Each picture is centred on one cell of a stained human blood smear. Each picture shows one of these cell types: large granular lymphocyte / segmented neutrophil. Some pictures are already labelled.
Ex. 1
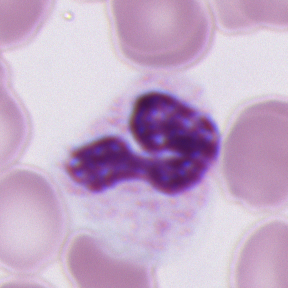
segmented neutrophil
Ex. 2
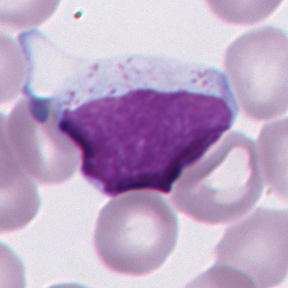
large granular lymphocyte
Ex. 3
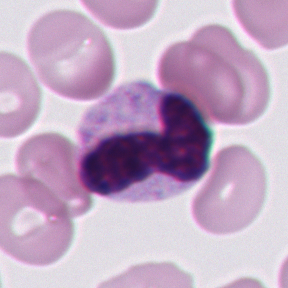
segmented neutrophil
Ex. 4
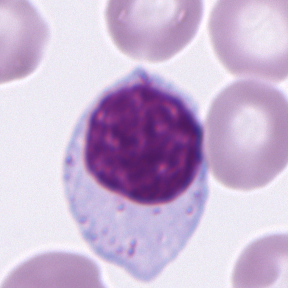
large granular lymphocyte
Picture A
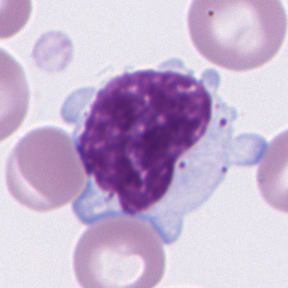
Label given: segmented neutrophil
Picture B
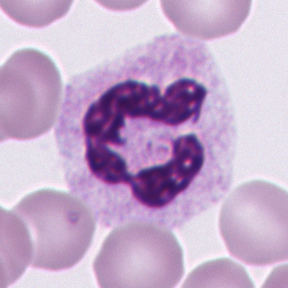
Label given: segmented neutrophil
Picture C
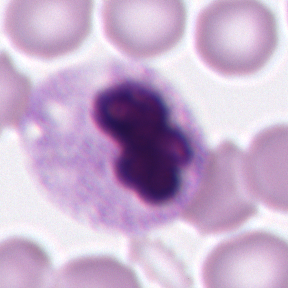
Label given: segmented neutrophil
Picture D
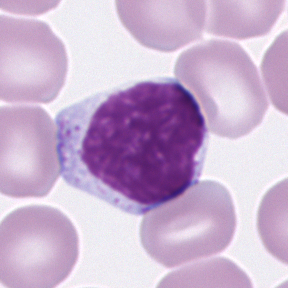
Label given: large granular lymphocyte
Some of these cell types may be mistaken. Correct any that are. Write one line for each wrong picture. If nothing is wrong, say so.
Wrong: A (segmented neutrophil); correct: large granular lymphocyte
